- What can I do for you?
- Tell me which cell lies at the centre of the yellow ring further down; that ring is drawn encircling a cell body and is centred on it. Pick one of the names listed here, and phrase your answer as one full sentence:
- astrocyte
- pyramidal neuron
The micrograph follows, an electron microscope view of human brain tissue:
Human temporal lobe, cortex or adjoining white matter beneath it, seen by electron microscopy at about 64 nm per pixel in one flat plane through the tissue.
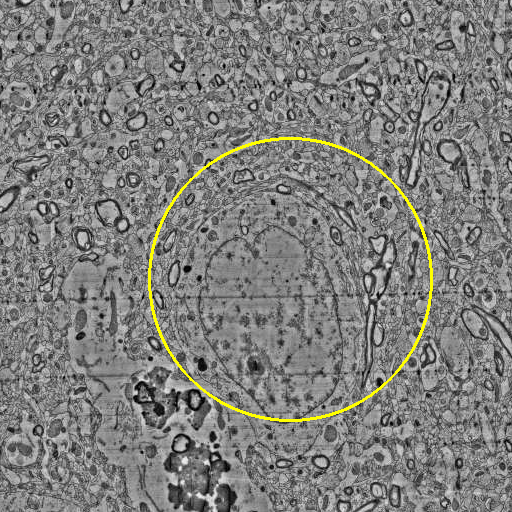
The cell whose body lies at the centre of the yellow ring is a pyramidal neuron.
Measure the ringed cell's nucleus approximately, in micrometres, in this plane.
Roughly 13 by 9 micrometres is the size of the nucleus in this plane.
